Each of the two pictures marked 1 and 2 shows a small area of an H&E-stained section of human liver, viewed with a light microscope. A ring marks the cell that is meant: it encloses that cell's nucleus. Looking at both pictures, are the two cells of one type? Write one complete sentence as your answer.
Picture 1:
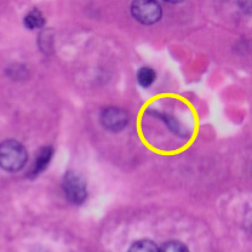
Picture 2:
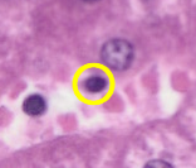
No. Picture 1 shows a “fibroblast or stellate cell”, but picture 2 shows a lymphocyte.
